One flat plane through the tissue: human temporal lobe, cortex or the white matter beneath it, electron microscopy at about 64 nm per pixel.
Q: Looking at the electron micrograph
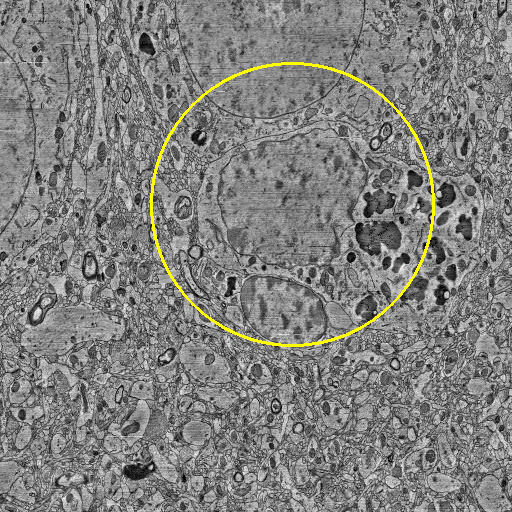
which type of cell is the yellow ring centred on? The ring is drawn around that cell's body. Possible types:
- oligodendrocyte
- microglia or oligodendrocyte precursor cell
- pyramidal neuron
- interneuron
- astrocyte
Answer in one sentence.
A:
The yellow ring is centred on an interneuron.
